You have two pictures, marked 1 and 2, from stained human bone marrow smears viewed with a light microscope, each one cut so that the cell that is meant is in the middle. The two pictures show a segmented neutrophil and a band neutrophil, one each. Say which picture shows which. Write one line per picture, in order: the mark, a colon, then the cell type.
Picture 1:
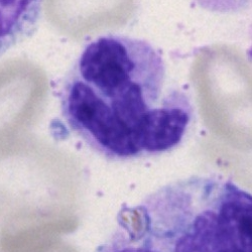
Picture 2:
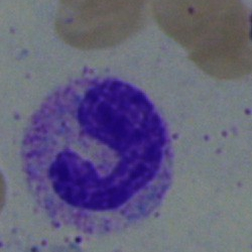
1: segmented neutrophil
2: band neutrophil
